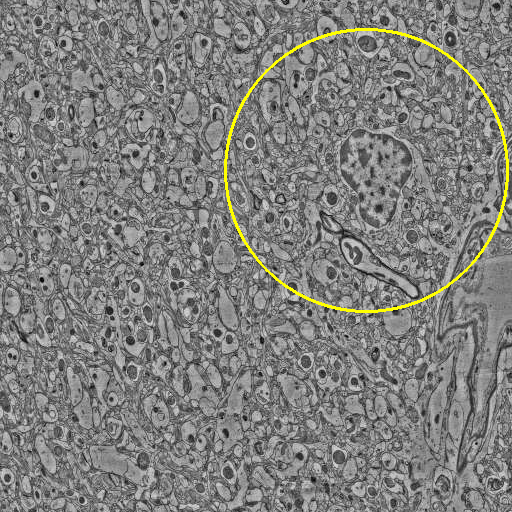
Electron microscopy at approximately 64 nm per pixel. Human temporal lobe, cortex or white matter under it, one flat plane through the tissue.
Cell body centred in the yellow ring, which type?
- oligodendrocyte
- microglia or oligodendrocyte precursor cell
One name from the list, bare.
microglia or oligodendrocyte precursor cell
